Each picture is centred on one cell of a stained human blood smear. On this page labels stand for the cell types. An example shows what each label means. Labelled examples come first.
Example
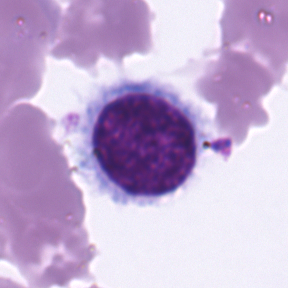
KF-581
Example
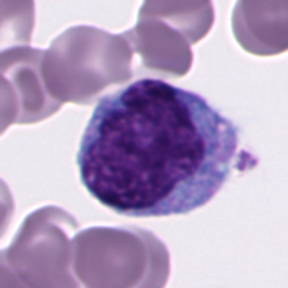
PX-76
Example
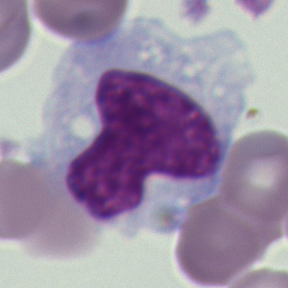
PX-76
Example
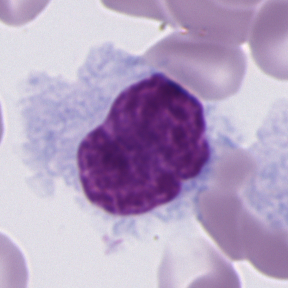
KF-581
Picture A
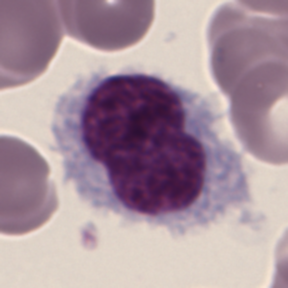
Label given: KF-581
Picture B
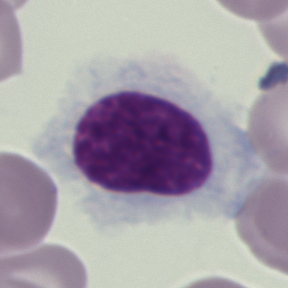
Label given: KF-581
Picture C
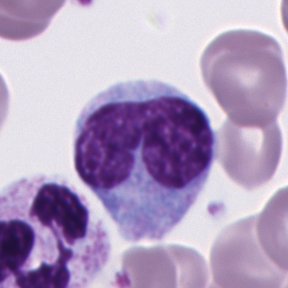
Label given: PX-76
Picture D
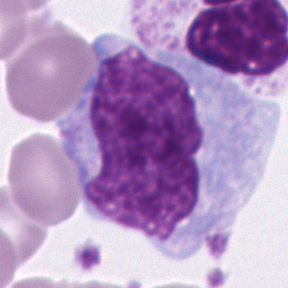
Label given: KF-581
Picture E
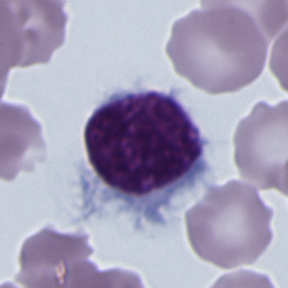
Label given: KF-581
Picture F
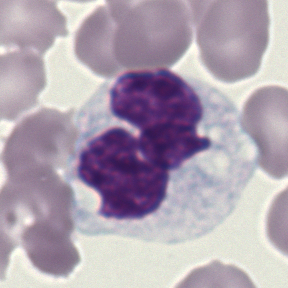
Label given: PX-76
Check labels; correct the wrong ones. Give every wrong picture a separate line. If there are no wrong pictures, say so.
D: not KF-581 but PX-76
